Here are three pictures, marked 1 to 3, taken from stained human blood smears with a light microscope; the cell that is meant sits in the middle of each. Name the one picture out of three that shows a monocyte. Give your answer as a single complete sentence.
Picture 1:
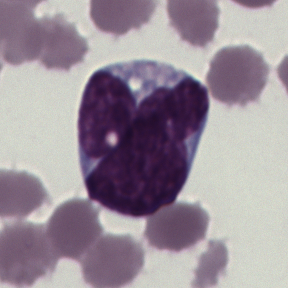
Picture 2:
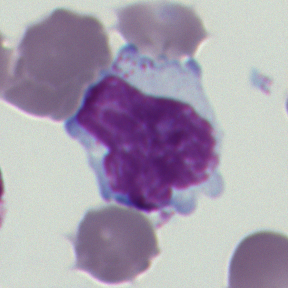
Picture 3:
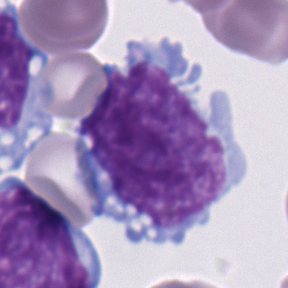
The cell in picture 1 is the monocyte.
